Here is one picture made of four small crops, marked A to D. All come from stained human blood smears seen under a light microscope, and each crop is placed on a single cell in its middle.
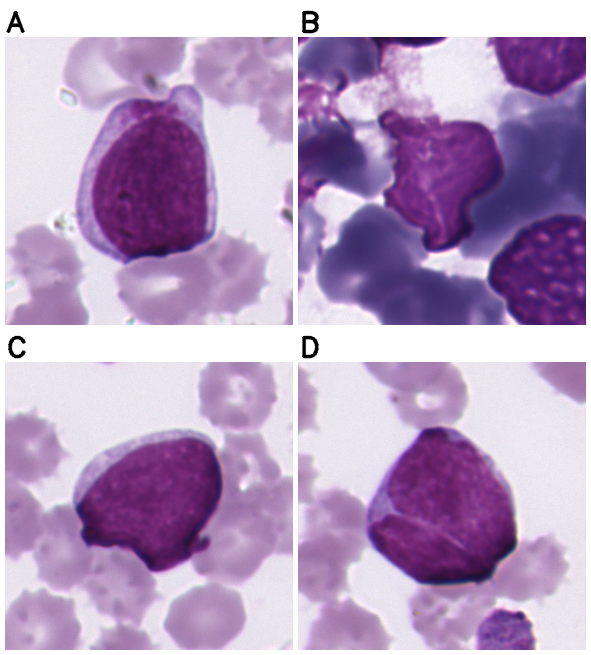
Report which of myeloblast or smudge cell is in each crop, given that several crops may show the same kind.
A: myeloblast
B: smudge cell
C: myeloblast
D: myeloblast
